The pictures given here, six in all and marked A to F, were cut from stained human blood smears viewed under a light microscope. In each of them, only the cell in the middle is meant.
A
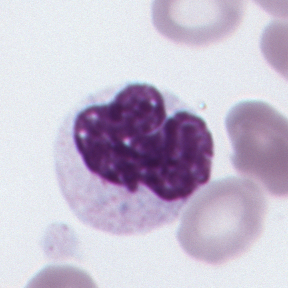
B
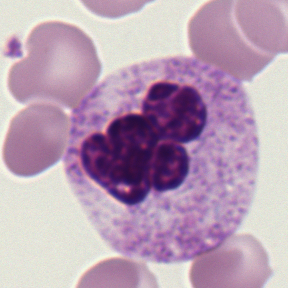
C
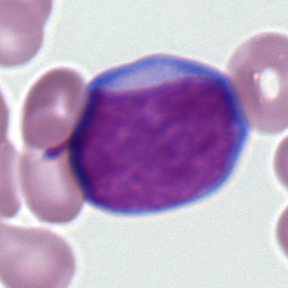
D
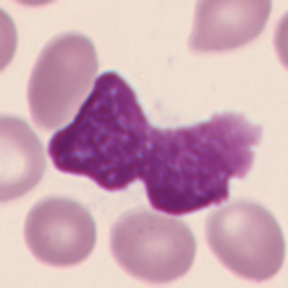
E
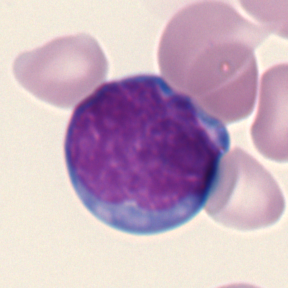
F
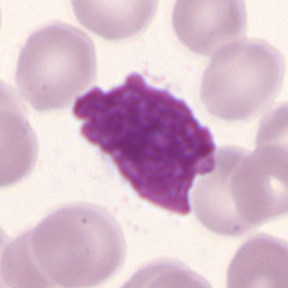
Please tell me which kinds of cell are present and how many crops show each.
neutrophil: 2
myeloblast: 2
smudge cell: 2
